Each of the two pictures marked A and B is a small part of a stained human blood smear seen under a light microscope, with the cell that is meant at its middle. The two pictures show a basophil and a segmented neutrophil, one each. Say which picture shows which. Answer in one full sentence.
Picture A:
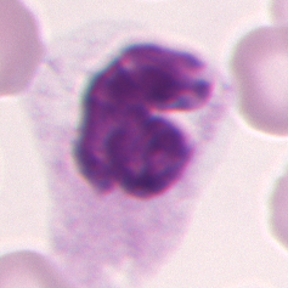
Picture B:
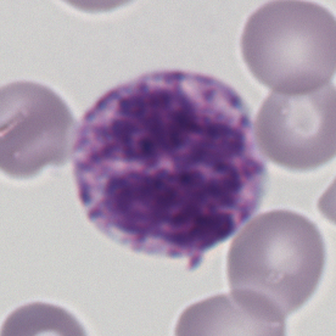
It is picture A that shows a segmented neutrophil, and picture B that shows a basophil.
